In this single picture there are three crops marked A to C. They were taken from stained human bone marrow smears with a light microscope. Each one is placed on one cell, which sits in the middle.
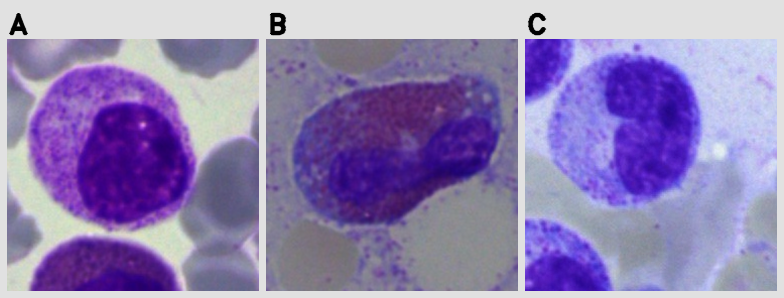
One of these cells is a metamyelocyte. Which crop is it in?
C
